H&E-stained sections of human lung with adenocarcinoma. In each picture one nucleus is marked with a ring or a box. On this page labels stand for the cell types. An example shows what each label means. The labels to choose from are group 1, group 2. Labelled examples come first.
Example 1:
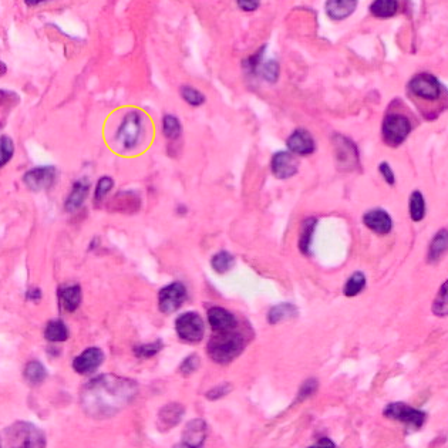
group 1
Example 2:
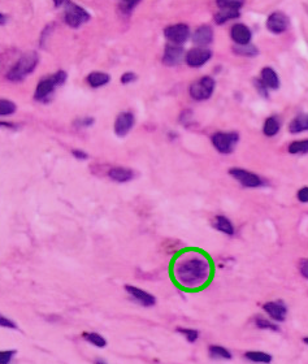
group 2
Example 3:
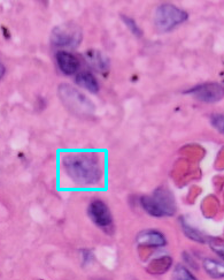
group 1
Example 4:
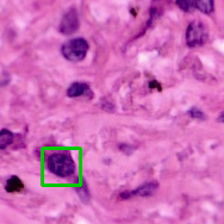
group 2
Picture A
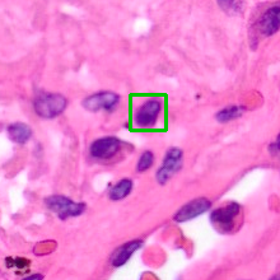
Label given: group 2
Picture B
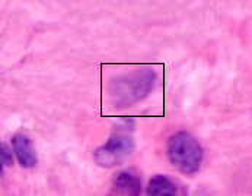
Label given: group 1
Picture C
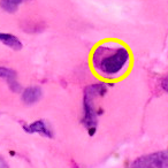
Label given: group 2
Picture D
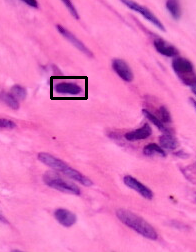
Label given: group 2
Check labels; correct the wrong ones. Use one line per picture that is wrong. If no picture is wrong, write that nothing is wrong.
Nothing to fix; every label fits.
